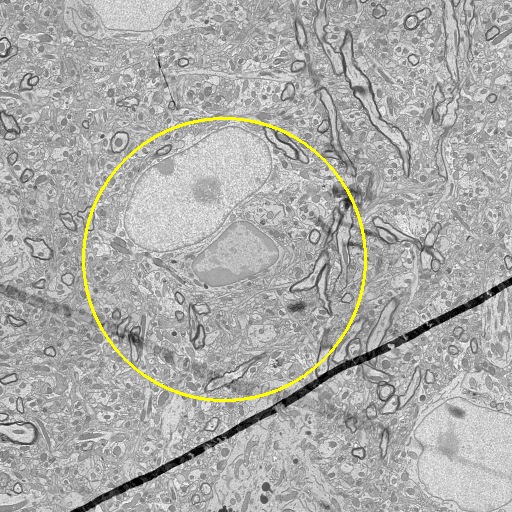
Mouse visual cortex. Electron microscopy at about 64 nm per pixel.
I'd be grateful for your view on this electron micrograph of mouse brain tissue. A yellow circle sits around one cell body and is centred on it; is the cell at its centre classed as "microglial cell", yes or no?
yes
